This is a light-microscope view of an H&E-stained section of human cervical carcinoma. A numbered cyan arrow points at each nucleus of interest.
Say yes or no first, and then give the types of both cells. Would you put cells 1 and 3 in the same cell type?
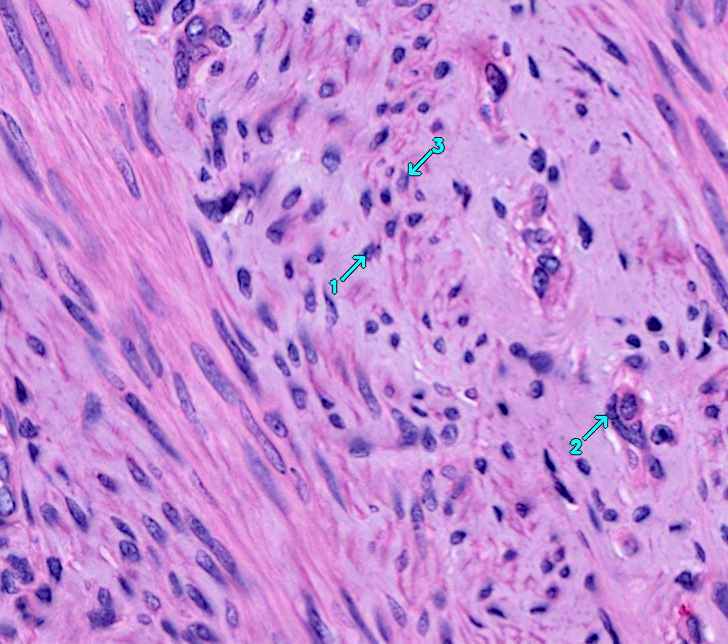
Yes, going by number, cells 1 and 3 are both smooth muscle cells.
